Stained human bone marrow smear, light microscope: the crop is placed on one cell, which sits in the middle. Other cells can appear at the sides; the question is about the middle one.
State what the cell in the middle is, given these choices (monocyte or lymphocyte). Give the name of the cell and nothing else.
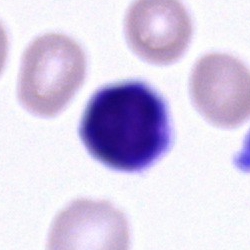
lymphocyte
